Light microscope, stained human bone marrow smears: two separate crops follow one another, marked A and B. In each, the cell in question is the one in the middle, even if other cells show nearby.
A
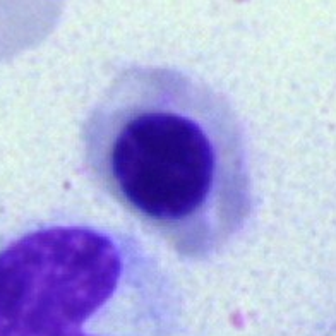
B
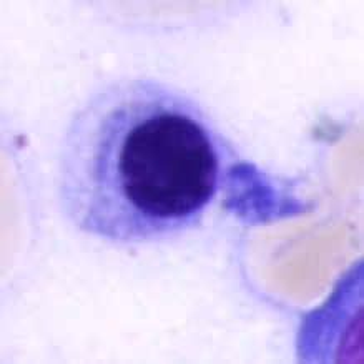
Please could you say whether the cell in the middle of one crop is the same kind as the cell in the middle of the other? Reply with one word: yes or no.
yes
